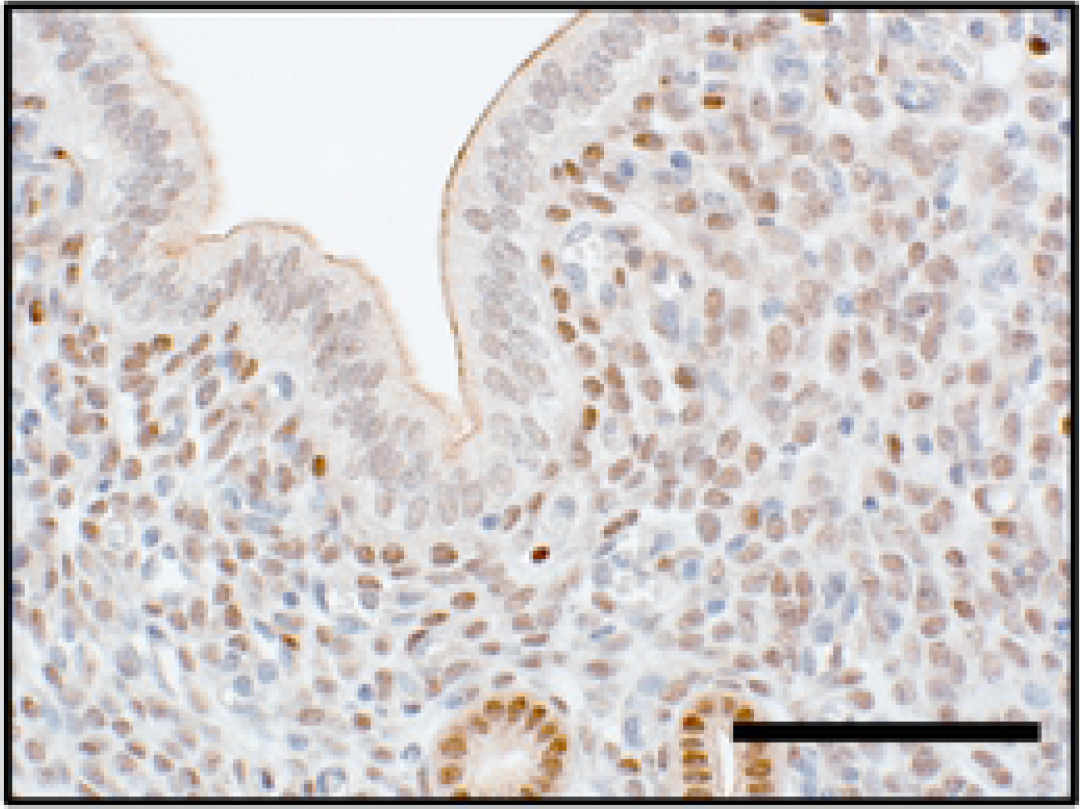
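Uterine wall showing a lumen lined by a single layer of tall columnar luminal epithelial cells with elongated, closely packed nuclei set perpendicular to the surface. Beneath lies a dense stroma of small cells with oval to round nuclei, many of them stained light to medium brown, others blue. At the lower edge, cross-sections of glands appear as rings of columnar cells around a small lumen, their nuclei stained brown. The epithelial nuclei are mostly pale brown, and a thin brown line marks the apical surface of the luminal epithelium.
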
